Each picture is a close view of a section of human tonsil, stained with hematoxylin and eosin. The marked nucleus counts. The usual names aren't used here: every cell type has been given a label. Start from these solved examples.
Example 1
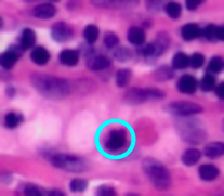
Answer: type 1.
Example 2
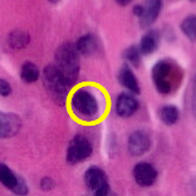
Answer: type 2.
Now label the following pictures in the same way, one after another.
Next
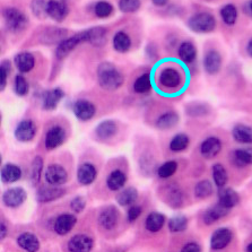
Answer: type 2.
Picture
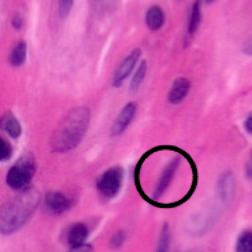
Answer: type 1.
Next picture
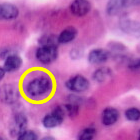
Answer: type 2.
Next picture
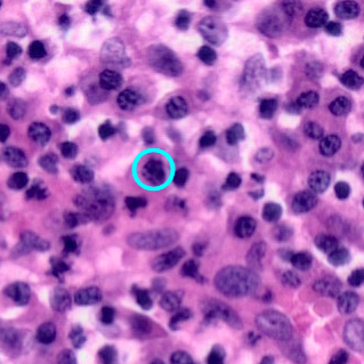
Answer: type 2.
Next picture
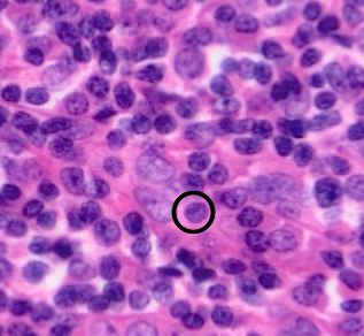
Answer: type 1.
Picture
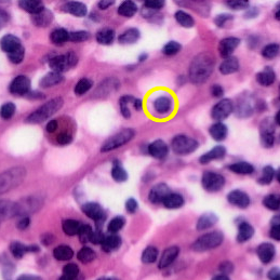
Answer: type 1.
